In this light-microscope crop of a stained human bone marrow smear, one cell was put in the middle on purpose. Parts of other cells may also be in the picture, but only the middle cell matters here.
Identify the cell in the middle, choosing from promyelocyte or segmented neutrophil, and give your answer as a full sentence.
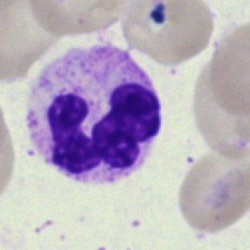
The middle cell in this particular crop is a segmented neutrophil.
